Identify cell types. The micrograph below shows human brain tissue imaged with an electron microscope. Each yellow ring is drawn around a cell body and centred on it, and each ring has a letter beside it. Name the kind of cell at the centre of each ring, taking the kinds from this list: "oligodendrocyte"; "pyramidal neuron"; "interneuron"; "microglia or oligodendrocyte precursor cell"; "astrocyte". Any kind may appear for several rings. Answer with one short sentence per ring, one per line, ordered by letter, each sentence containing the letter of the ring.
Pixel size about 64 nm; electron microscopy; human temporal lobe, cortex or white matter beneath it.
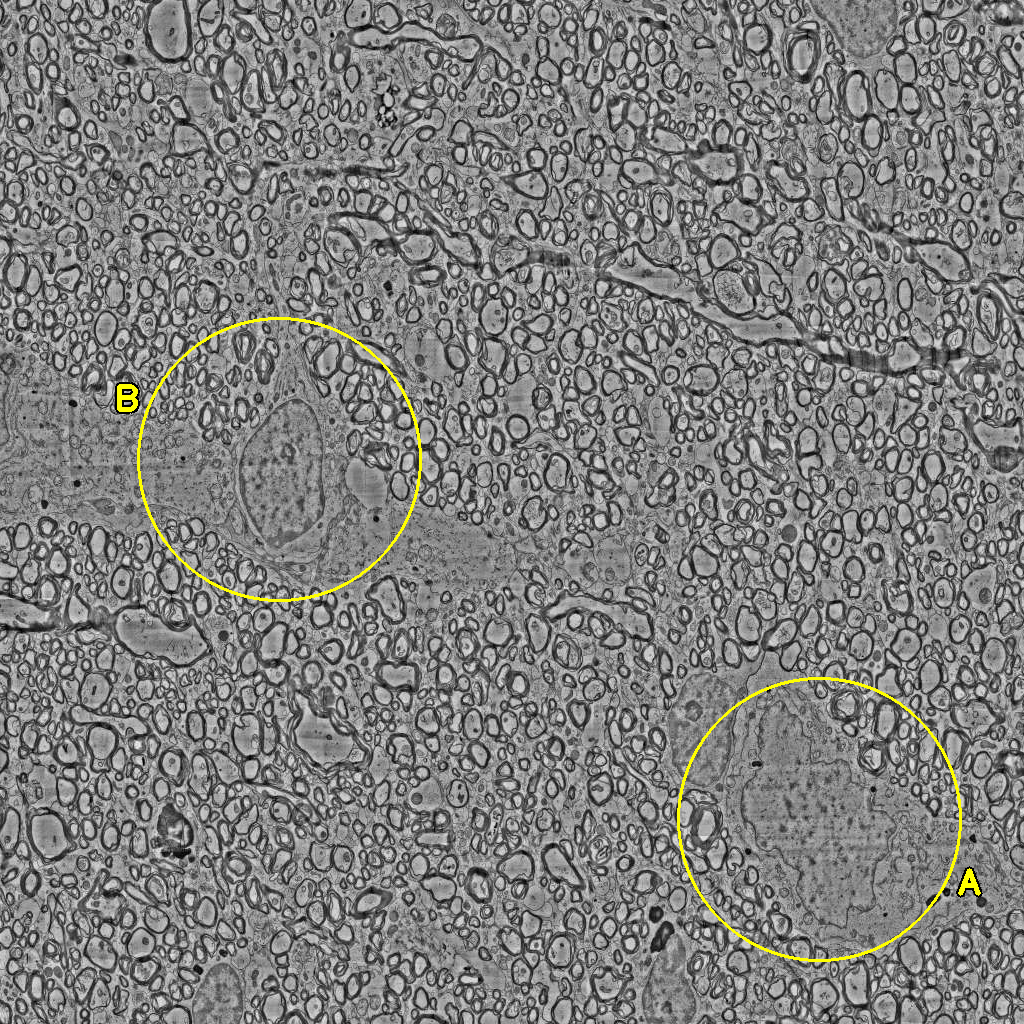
Ring A marks a pyramidal neuron.
Ring B marks a microglial cell or oligodendrocyte precursor cell.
